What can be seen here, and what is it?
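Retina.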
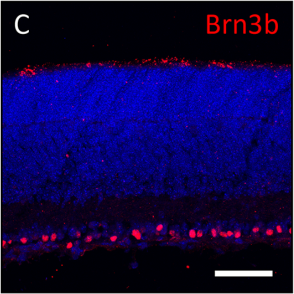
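The upper two thirds are taken by blue, densely packed nuclear layers: a thick outer nuclear layer and, below a faint band, the middle nuclear layer, both without red. A darker band of fibres lies beneath them. In the innermost cell layer near the bottom, round red nuclei sit in a single row, spaced apart with unlabelled blue nuclei between them. A speckled red line runs along the outermost top edge of the section.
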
